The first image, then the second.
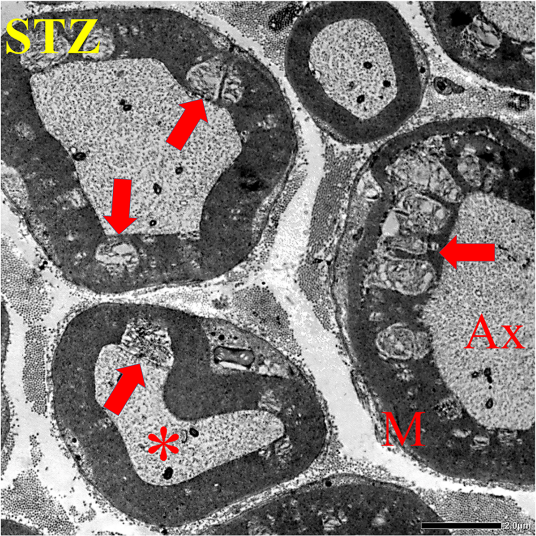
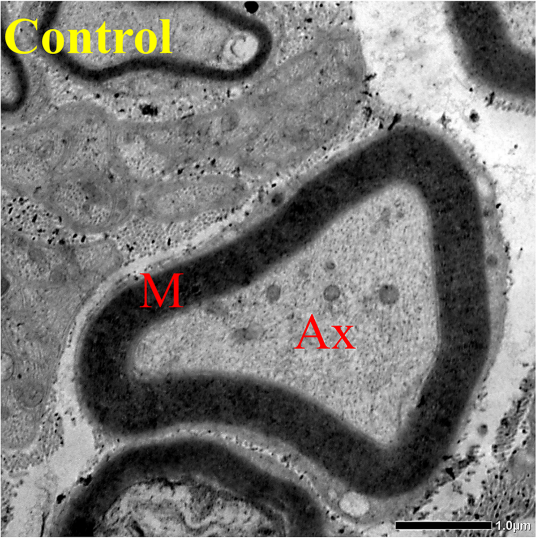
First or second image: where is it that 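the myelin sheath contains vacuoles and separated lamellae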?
the first image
